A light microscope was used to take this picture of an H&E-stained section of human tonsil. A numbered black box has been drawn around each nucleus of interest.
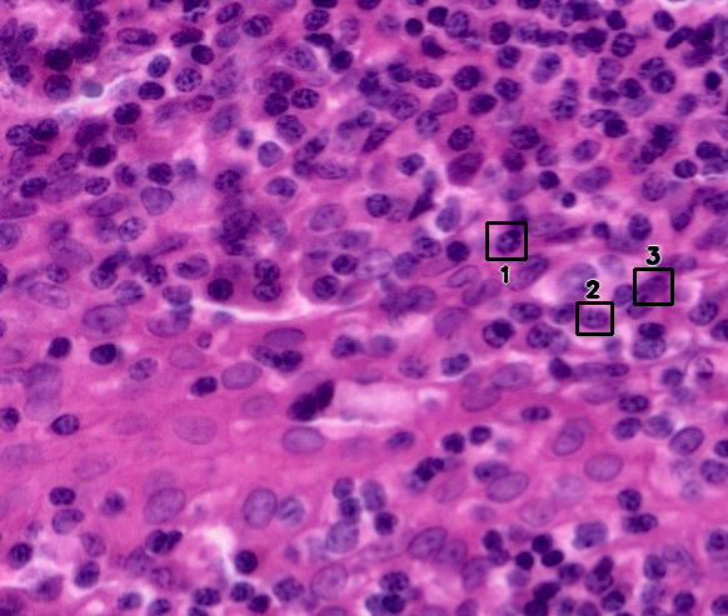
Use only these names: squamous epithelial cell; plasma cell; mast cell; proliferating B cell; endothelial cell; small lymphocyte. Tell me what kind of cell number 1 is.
plasma cell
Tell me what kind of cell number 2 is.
plasma cell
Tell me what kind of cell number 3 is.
squamous epithelial cell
